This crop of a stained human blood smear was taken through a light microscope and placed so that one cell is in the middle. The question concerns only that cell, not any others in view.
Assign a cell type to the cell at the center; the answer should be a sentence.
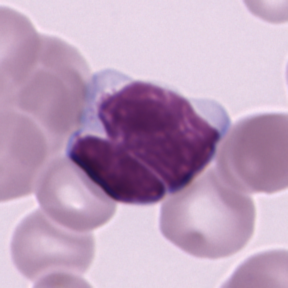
The centrally positioned cell in the crop represents a large granular lymphocyte.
